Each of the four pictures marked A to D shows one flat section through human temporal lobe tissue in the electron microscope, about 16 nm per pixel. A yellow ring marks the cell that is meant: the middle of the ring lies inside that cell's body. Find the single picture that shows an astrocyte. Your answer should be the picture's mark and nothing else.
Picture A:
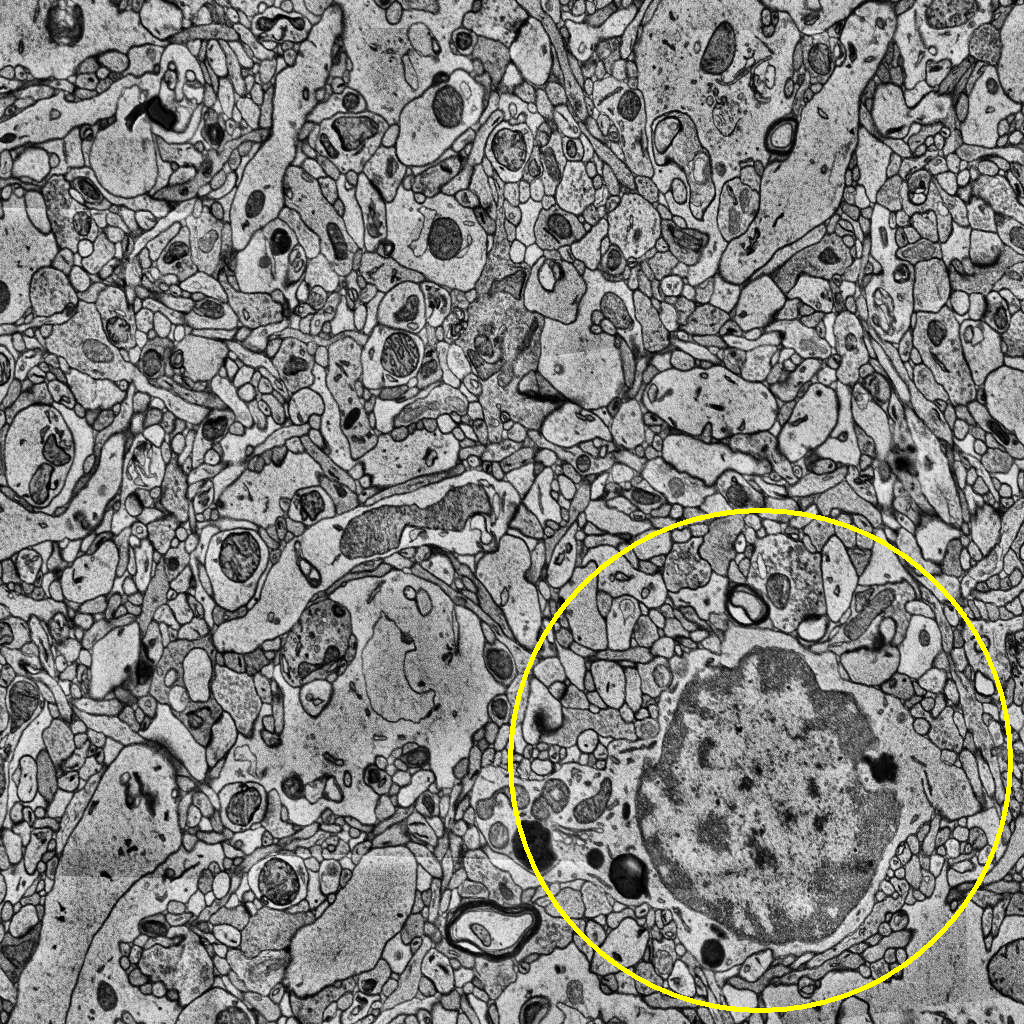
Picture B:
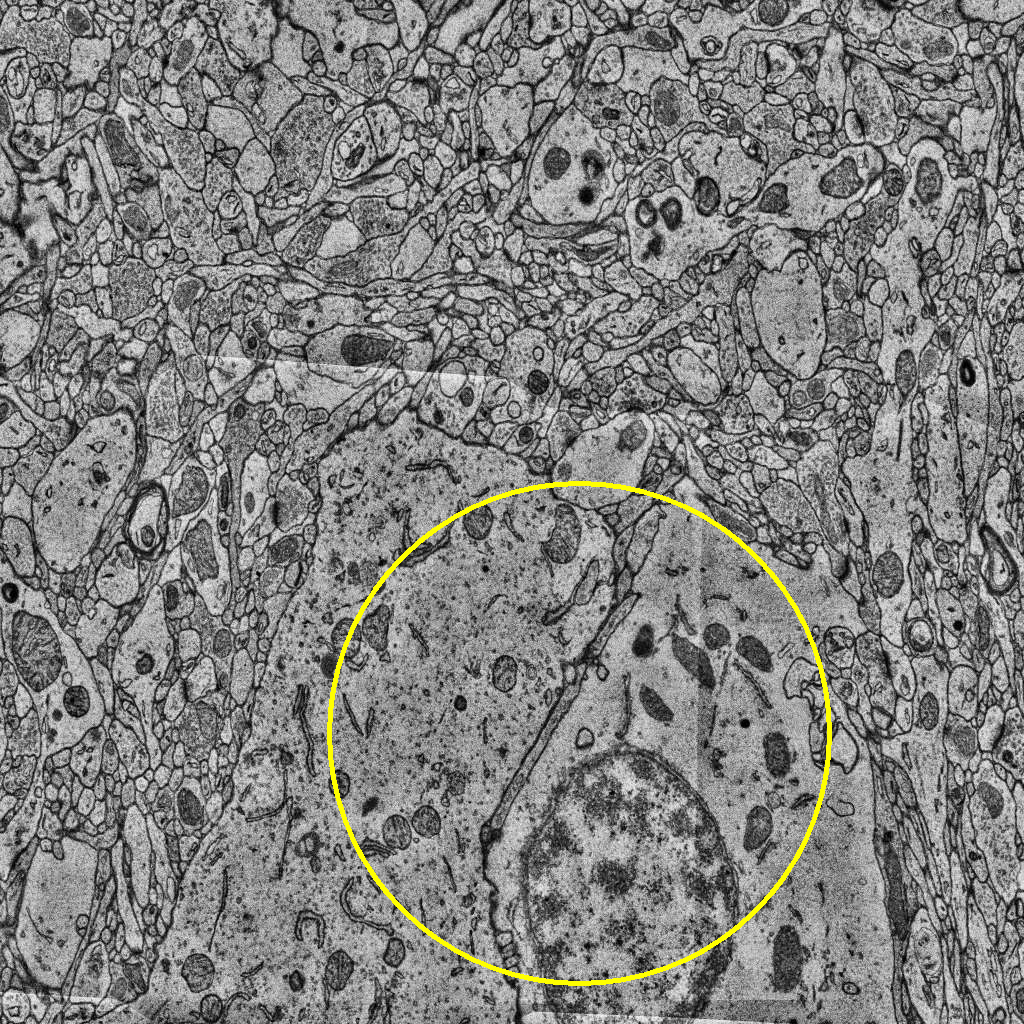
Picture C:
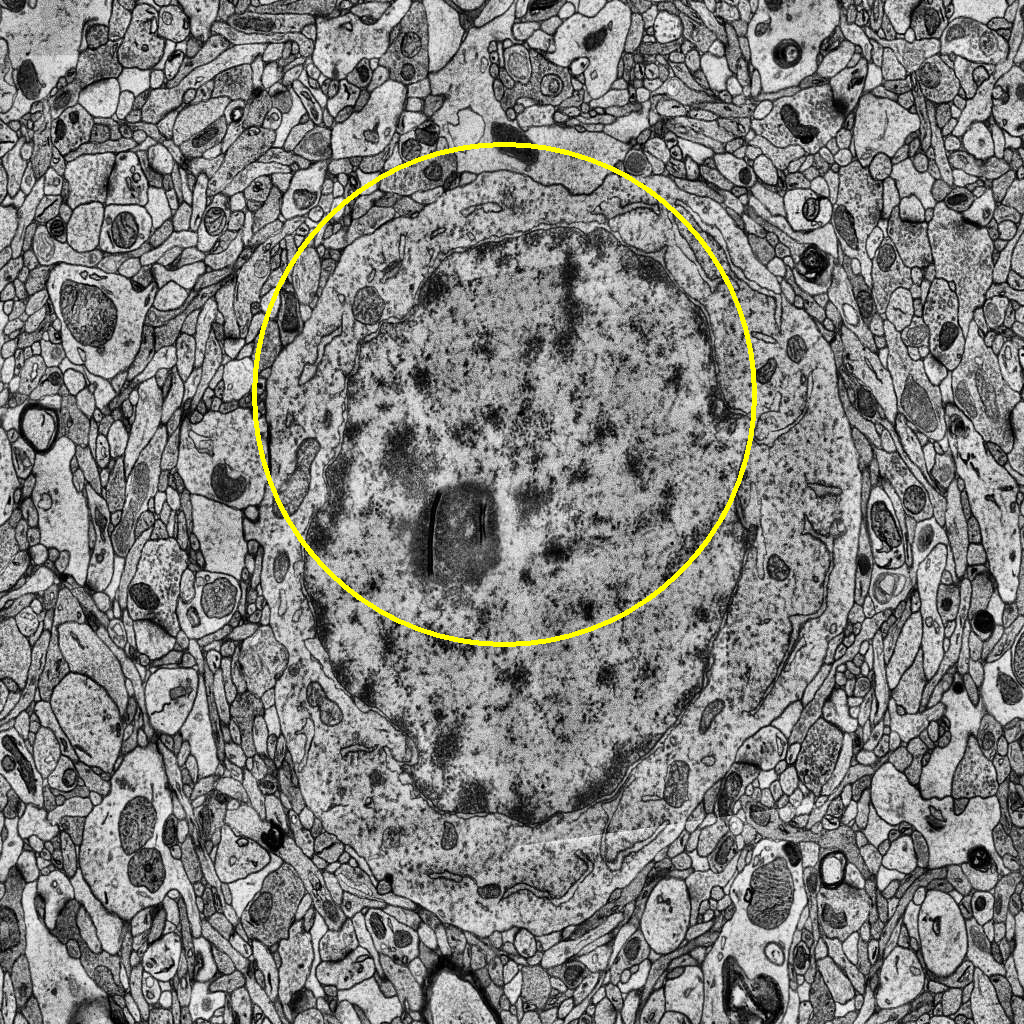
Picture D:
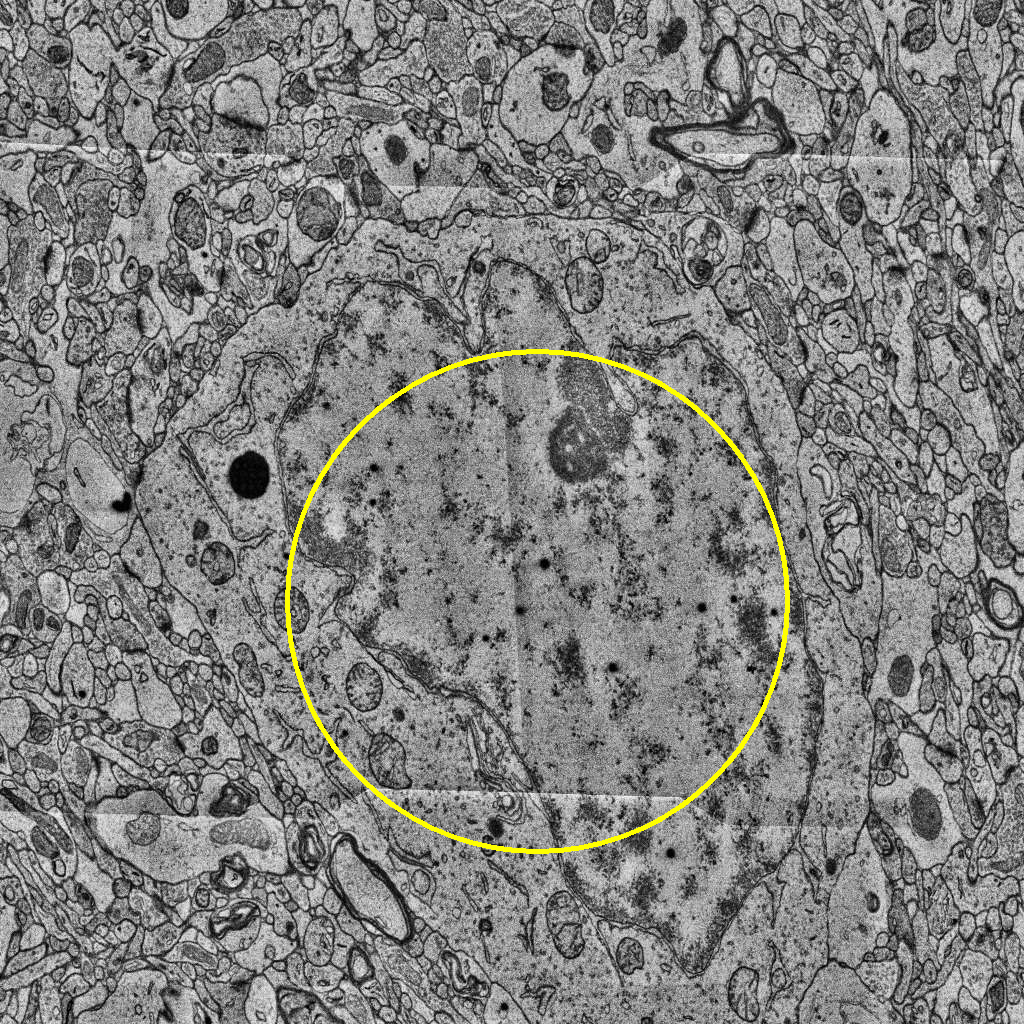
B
